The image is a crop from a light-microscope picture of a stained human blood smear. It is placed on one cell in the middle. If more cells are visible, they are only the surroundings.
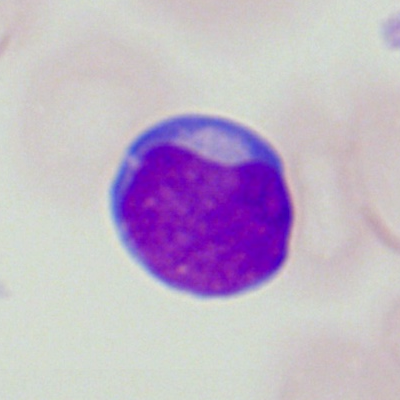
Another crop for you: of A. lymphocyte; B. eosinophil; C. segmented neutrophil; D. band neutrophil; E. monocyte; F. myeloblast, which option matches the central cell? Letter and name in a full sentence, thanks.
In the middle of the crop is a myeloblast; option F is therefore correct.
